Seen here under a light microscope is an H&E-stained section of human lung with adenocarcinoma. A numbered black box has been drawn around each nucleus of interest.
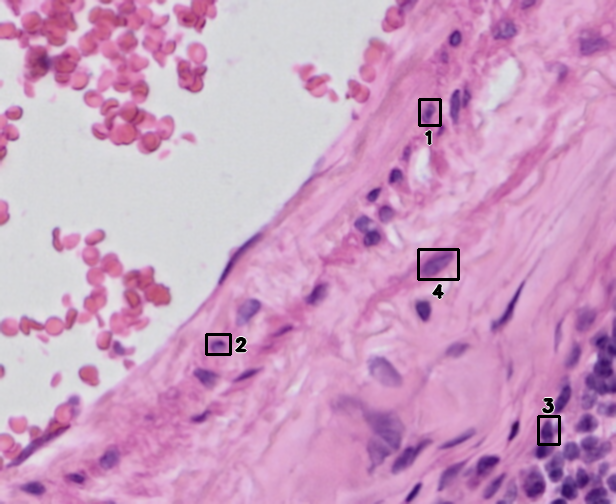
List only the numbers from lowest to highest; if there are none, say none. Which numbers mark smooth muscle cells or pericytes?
1, 2, 4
